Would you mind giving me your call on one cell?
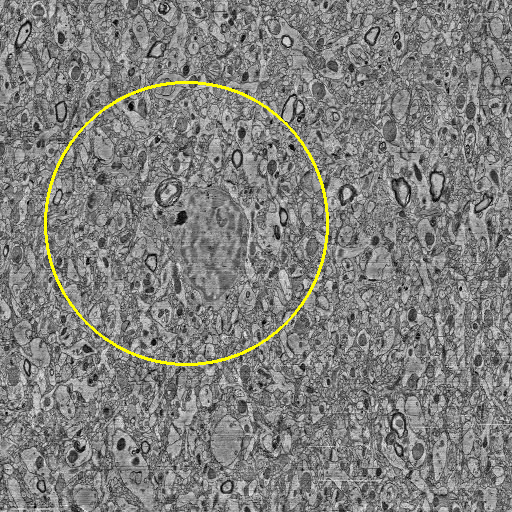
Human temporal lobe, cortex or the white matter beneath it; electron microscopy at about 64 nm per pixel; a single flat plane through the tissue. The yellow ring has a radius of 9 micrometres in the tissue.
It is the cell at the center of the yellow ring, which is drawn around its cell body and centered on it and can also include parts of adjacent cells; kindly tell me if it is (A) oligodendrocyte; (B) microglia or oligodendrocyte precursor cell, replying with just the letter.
A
